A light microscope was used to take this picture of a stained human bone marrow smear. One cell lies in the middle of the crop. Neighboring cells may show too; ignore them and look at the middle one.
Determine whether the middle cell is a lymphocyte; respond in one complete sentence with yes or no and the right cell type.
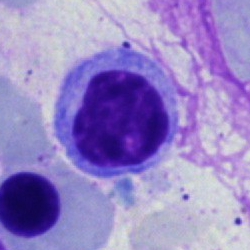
Yes, the central cell here is a lymphocyte.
